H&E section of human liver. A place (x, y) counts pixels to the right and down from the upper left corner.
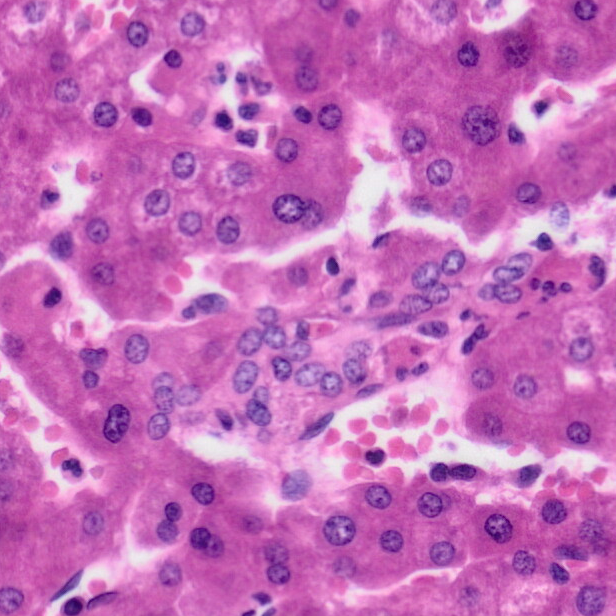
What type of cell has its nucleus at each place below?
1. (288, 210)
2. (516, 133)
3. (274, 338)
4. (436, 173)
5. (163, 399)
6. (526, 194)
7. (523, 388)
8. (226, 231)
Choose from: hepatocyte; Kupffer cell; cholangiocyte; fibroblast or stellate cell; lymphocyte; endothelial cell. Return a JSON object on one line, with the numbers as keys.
{"1": "hepatocyte", "2": "fibroblast or stellate cell", "3": "cholangiocyte", "4": "hepatocyte", "5": "cholangiocyte", "6": "hepatocyte", "7": "hepatocyte", "8": "hepatocyte"}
